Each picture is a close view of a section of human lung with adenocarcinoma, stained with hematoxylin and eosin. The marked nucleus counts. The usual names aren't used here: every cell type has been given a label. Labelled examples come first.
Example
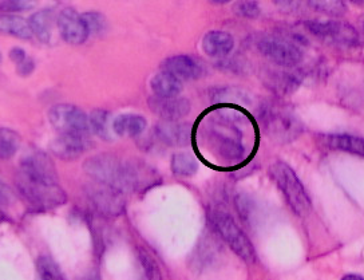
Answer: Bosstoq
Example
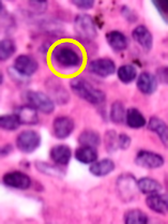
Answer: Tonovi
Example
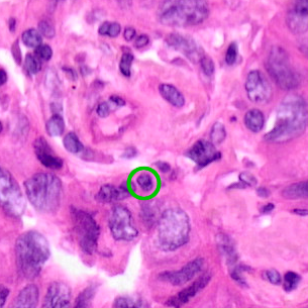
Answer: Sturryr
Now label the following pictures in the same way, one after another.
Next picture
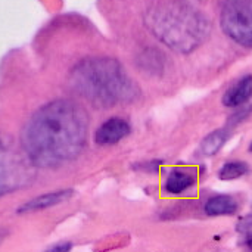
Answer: Tonovi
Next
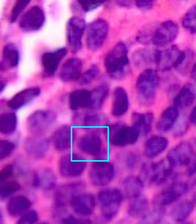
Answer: Sturryr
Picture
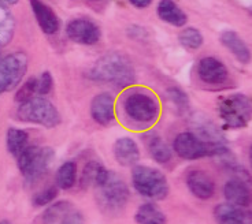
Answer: Tonovi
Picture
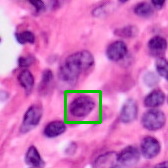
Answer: Tonovi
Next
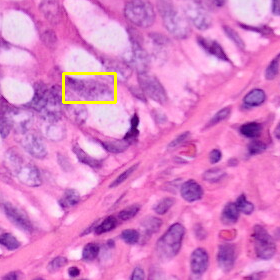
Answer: Bosstoq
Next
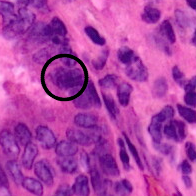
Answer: Bosstoq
